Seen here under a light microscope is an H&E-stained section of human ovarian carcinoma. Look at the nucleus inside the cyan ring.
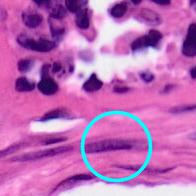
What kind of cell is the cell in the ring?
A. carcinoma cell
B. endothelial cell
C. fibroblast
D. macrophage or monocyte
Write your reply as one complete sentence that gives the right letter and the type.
Option C is the one that fits, as the cell in the ring is a fibroblast.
